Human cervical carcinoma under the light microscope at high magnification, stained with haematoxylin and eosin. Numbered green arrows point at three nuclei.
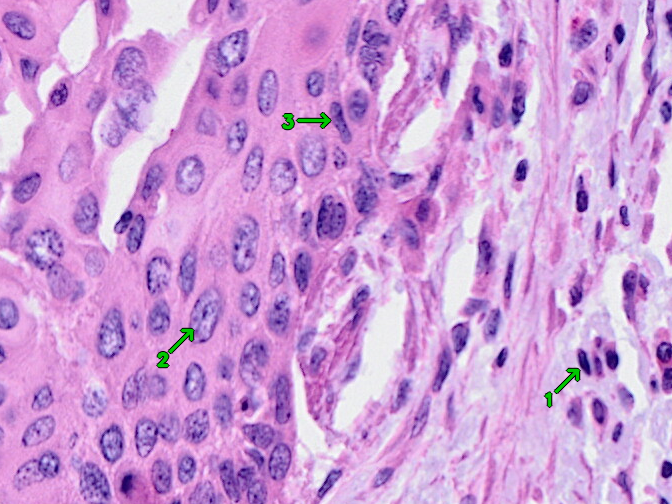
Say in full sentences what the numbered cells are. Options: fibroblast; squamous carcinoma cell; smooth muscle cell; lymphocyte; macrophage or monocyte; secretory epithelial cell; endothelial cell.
Cell 1 is a lymphocyte, cell 2 is a squamous carcinoma cell and cell 3 is a squamous carcinoma cell.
